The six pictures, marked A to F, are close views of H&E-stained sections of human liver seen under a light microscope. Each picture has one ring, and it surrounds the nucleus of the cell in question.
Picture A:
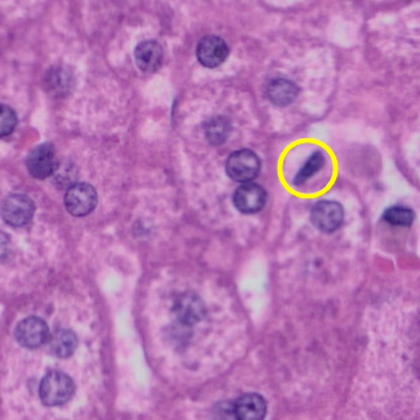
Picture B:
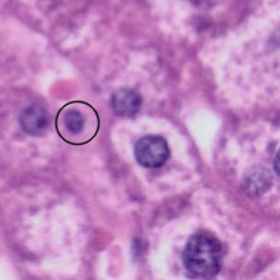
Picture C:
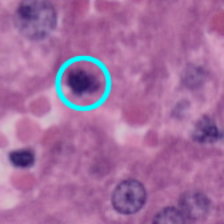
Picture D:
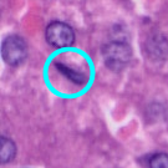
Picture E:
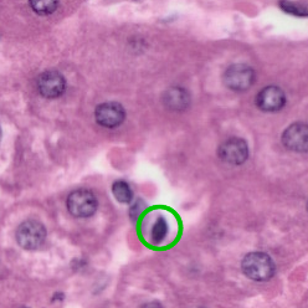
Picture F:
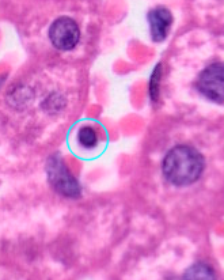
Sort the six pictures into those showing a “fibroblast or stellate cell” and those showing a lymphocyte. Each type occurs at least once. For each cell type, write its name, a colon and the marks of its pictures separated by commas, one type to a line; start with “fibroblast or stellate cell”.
fibroblast or stellate cell: C, D
lymphocyte: A, B, E, F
